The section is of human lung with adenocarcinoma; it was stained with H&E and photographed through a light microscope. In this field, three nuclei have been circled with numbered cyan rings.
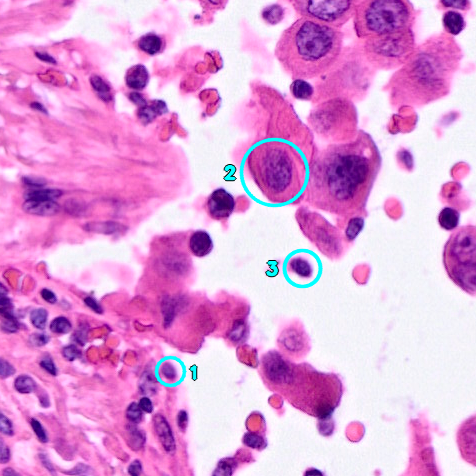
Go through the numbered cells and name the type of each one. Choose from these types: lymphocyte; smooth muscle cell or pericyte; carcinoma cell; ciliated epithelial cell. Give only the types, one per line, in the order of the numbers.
lymphocyte
carcinoma cell
lymphocyte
